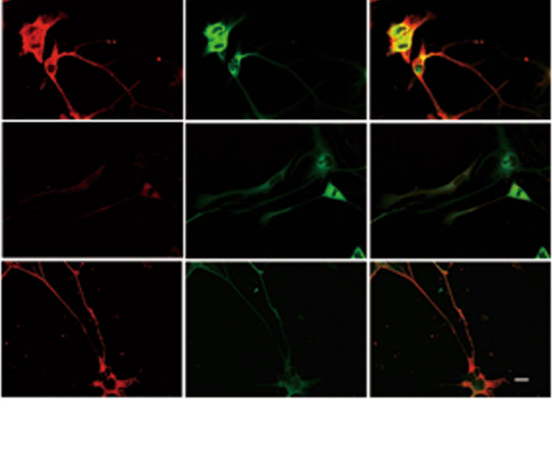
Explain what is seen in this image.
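Scattered cultured neurons with rounded or angular cell bodies send out long, thin, branching processes that cross the dark background. The cell bodies and processes are outlined in red and green, overlapping as yellow-orange in some cells, while in others the red along the processes is faint.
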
